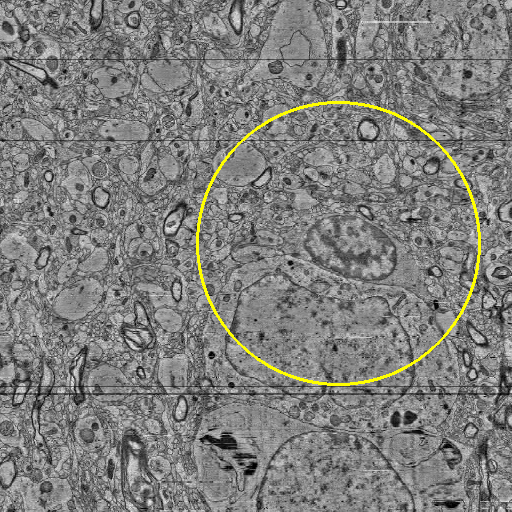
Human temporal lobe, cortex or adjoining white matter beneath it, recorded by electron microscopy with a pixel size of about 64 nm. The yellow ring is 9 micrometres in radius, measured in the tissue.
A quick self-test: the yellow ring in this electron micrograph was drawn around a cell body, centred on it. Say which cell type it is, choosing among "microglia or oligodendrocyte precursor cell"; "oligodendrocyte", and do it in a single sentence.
The yellow-ringed cell is an oligodendrocyte.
